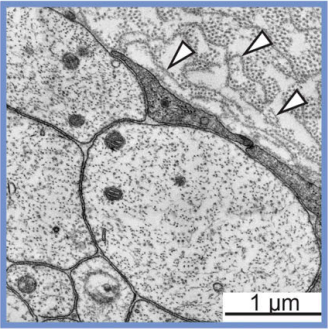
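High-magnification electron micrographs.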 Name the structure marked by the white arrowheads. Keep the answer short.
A: redundant loops of basal lamina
